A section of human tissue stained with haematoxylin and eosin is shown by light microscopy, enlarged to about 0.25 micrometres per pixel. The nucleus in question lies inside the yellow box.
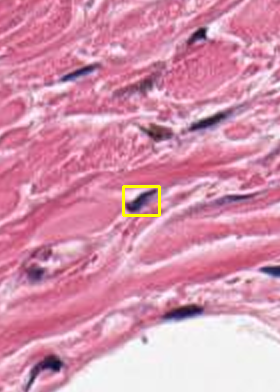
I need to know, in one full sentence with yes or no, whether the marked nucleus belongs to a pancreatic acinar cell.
No, the marked nucleus is the nucleus of a supporting cell rather than of a pancreatic acinar cell.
